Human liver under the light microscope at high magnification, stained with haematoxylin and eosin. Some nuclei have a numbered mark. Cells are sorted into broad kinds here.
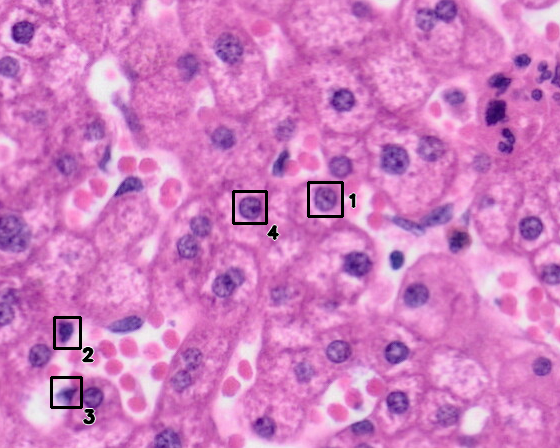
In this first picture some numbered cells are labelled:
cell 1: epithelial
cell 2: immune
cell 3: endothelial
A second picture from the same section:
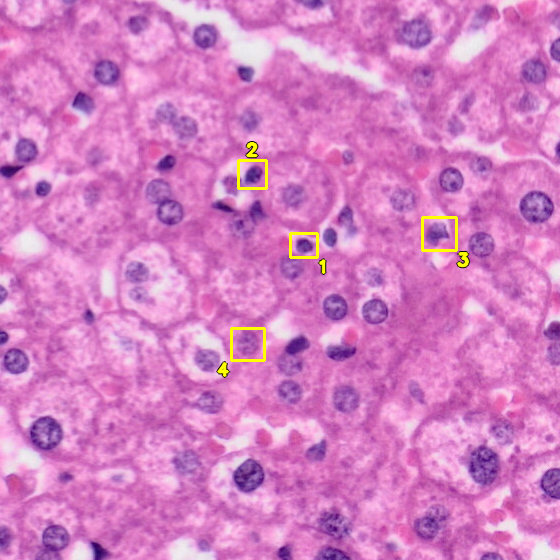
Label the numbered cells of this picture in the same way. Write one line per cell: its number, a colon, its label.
1: immune
2: immune
3: endothelial
4: epithelial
